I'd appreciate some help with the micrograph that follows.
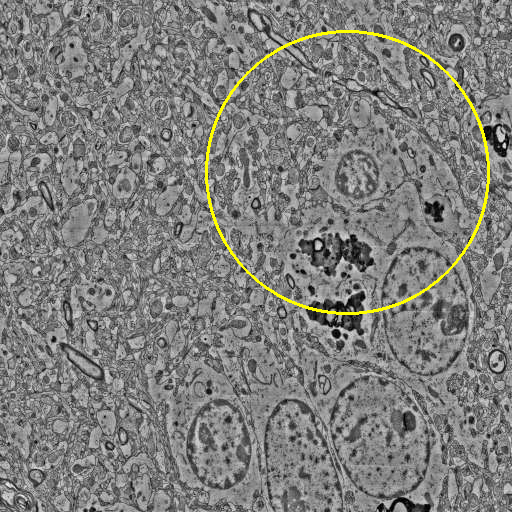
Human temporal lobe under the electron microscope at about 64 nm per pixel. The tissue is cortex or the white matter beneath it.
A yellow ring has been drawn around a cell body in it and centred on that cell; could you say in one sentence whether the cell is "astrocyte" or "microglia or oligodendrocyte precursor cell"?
It is an astrocyte at the centre of the ring.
